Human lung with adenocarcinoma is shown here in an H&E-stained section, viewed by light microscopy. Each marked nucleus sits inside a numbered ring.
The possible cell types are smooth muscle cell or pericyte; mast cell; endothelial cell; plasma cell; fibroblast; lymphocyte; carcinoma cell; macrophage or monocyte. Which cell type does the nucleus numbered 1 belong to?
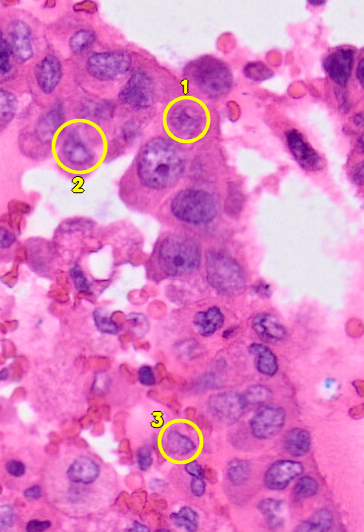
carcinoma cell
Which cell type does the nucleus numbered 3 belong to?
macrophage or monocyte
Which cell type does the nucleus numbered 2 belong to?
carcinoma cell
